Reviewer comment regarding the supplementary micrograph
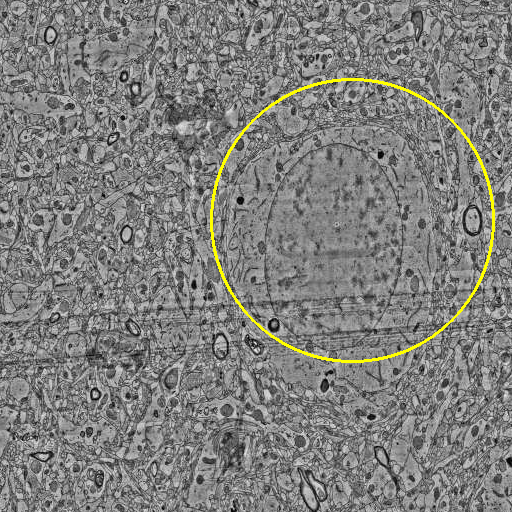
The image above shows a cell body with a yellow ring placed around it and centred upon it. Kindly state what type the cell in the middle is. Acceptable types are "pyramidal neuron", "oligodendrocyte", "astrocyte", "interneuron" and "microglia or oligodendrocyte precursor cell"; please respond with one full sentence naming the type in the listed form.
In the image above, the cell on which the yellow ring is centred is a pyramidal neuron.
